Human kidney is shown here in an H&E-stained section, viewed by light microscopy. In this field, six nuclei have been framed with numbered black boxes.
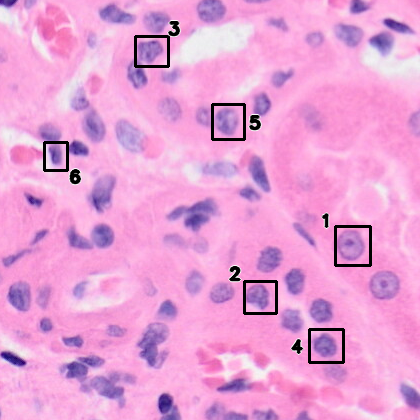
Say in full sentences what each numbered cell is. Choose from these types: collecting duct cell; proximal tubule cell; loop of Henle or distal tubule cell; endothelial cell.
Cell 1 is a proximal tubule cell. Cells 2 and 4 are loop of Henle or distal tubule cells. Cells 3 and 5 are collecting duct cells. Cell 6 is an endothelial cell.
